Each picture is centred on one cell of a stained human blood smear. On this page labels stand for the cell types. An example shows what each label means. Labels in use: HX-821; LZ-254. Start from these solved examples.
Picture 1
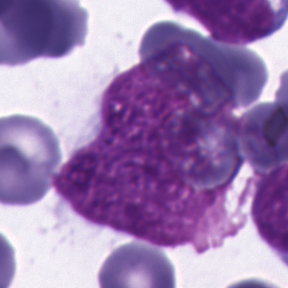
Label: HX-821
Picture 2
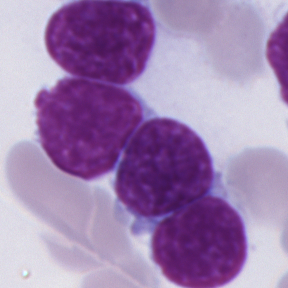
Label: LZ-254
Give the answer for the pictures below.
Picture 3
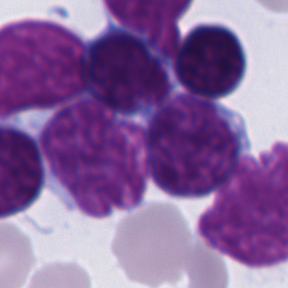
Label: LZ-254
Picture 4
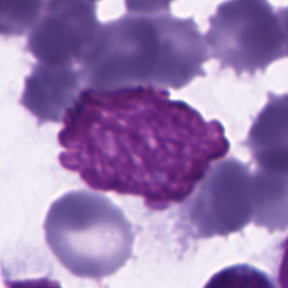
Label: HX-821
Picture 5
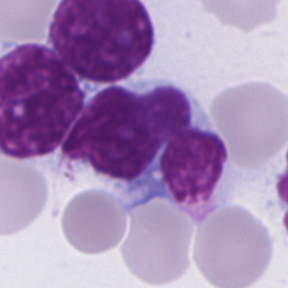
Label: LZ-254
